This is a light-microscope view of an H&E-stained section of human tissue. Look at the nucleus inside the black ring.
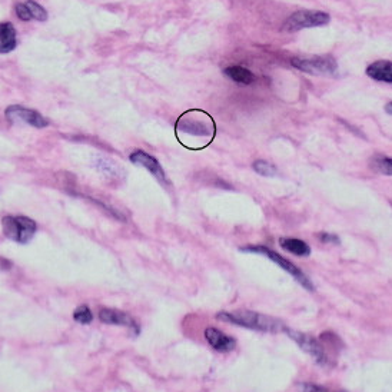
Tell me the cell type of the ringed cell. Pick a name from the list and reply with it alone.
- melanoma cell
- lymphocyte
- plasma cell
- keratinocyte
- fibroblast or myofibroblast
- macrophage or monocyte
fibroblast or myofibroblast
